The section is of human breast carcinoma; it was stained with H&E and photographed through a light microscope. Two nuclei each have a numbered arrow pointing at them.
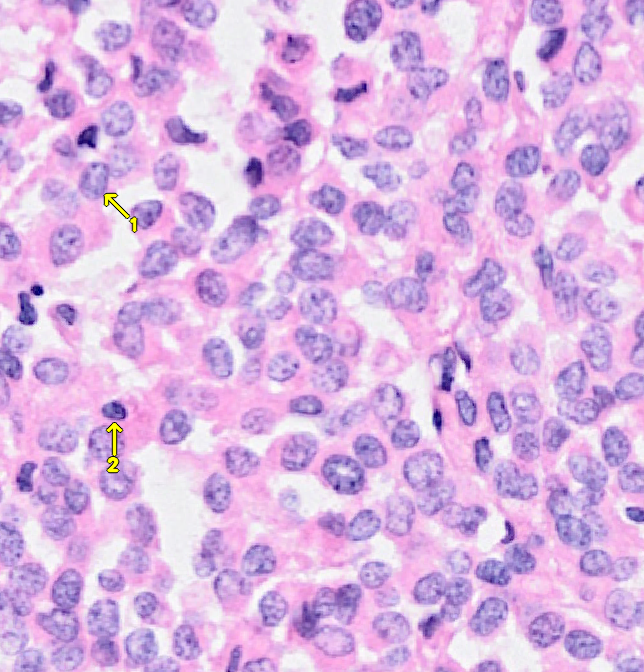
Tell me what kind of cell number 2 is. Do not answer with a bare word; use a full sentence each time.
Cell 2, among those numbered, is a lymphocyte.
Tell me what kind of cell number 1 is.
The identity of cell 1 is that of a carcinoma cell.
